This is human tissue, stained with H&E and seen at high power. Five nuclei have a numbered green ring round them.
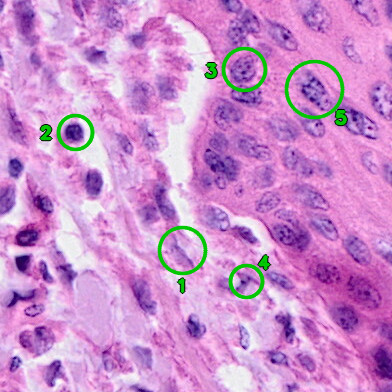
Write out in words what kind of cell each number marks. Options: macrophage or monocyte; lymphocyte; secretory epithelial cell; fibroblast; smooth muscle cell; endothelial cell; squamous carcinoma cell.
Cell 1 is a fibroblast, cell 2 is a lymphocyte, cell 3 is a squamous carcinoma cell, cell 4 is a fibroblast and cell 5 is a squamous carcinoma cell.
